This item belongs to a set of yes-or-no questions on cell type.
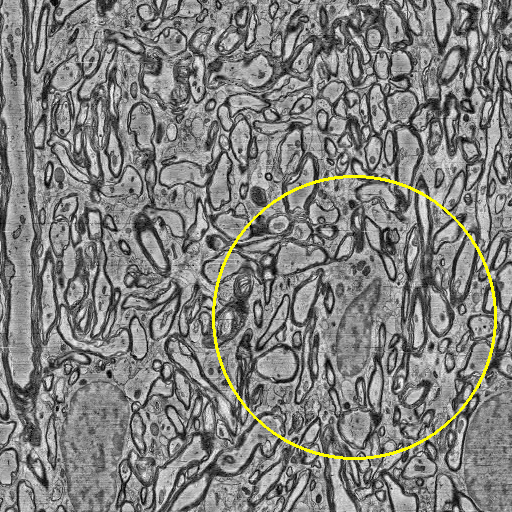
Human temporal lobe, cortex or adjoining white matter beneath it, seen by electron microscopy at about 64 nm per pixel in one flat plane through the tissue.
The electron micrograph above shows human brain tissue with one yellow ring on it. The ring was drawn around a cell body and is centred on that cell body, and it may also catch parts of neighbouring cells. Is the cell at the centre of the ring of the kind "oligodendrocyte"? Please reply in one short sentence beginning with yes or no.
Yes, that cell is of the named kind.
